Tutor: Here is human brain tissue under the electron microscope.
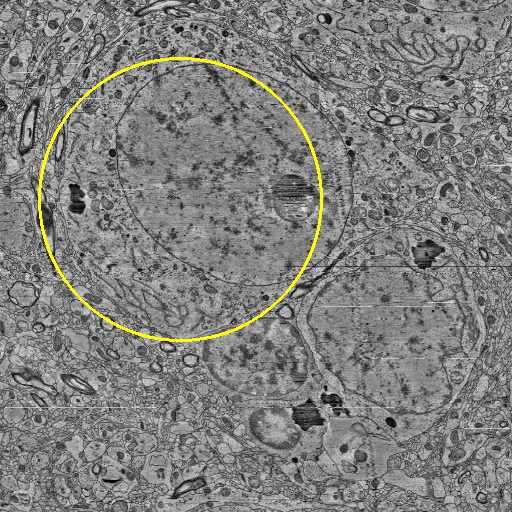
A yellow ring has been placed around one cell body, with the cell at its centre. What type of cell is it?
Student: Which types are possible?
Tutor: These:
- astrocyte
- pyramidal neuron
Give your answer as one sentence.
What the ring picks out here is a pyramidal neuron.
